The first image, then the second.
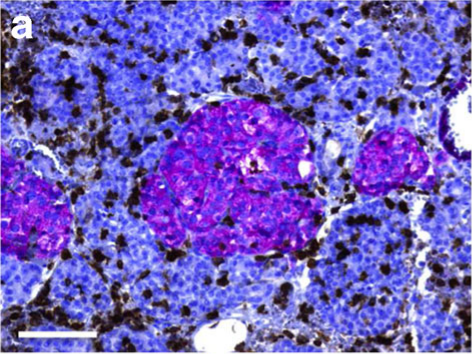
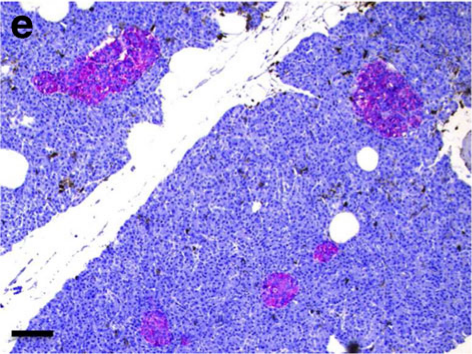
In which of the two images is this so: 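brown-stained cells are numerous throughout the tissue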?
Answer: the first image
